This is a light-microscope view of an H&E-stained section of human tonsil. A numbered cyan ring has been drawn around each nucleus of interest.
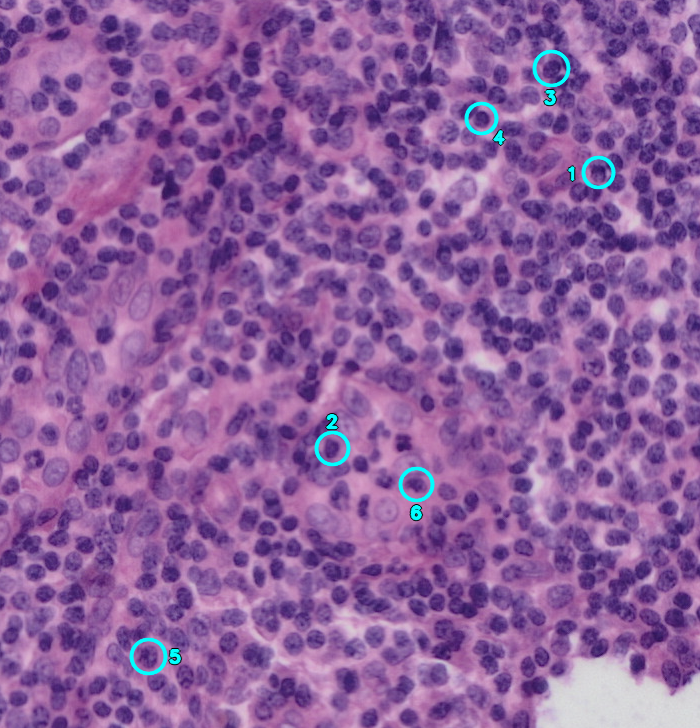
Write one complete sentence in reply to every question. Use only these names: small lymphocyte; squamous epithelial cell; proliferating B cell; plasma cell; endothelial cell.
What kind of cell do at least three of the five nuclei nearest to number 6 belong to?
The majority of the five nuclei closest to number 6 belong to endothelial cells.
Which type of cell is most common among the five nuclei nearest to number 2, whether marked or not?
The majority of the five nuclei closest to number 2 belong to endothelial cells.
